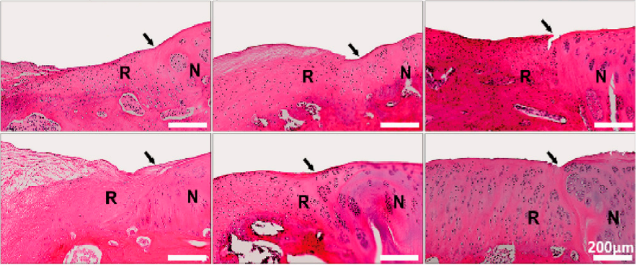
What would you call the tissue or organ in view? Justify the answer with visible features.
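Pink-stained, smooth extracellular matrix fills most of each image. Small cells sit singly in clear spaces scattered through the matrix.
Cartilage.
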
